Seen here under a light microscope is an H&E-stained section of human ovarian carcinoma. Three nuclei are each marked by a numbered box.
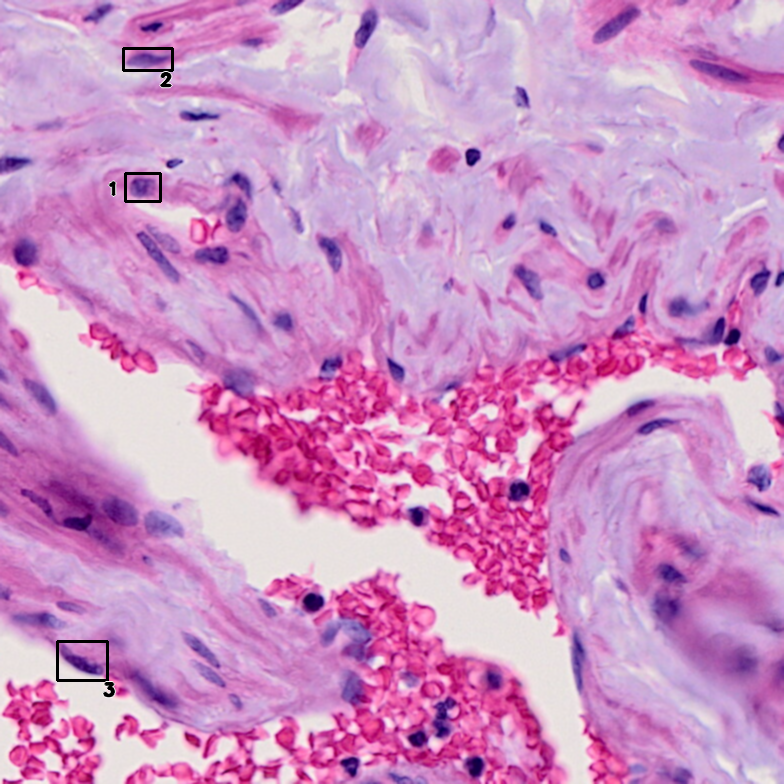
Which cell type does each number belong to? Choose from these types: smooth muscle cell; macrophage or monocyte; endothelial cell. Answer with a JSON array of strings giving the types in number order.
["endothelial cell", "smooth muscle cell", "endothelial cell"]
